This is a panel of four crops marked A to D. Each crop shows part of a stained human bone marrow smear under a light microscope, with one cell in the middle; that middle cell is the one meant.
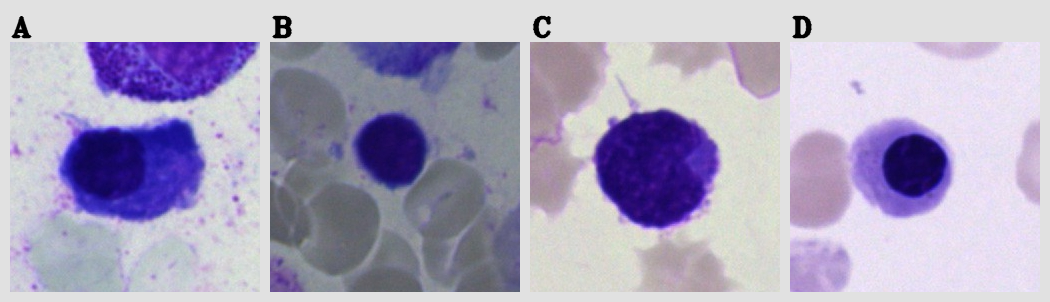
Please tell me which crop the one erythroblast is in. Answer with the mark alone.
D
